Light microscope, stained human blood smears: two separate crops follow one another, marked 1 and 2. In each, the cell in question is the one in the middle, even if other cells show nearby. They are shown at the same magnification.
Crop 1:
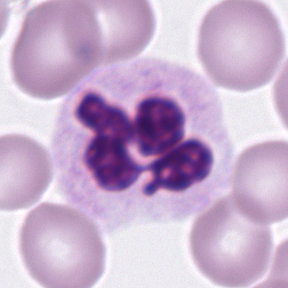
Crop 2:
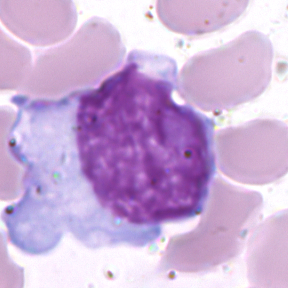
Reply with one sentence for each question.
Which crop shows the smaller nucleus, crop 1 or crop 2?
Smaller is the nucleus in crop 1, and the other is about 2 times as large in area.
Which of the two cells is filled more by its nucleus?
Of the two, the nucleus in crop 2 makes up the greater part of its cell.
